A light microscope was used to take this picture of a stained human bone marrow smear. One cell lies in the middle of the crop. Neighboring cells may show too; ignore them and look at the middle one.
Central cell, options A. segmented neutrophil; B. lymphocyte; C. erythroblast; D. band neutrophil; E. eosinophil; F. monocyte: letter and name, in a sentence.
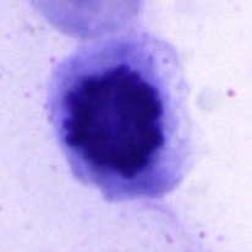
Option C is the keyed answer: the cell in the middle is an erythroblast.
